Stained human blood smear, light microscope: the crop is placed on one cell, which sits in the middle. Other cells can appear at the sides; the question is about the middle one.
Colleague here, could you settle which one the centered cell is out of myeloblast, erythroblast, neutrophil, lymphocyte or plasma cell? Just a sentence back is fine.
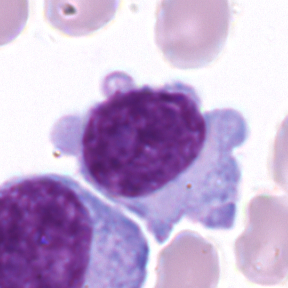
Answering briefly, the cell in the middle is a plasma cell.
